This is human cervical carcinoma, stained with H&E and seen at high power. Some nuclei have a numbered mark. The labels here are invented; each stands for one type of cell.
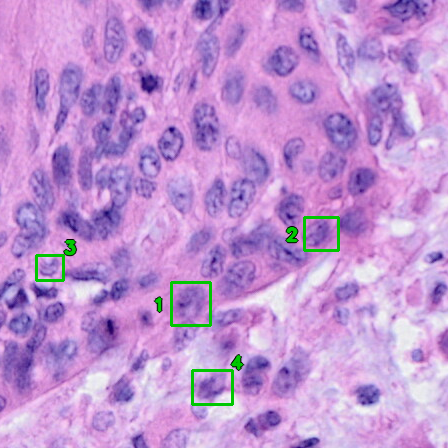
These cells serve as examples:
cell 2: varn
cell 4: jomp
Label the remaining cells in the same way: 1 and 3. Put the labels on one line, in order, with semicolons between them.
varn; varn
